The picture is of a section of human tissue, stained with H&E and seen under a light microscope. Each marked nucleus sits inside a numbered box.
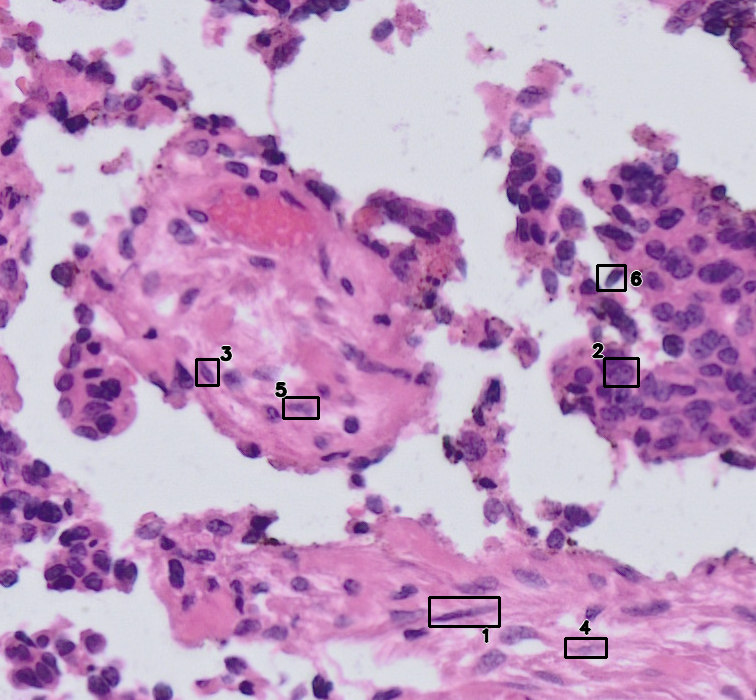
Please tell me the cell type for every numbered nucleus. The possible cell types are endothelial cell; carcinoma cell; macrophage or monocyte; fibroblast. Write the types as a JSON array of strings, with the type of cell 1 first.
["fibroblast", "carcinoma cell", "fibroblast", "fibroblast", "fibroblast", "carcinoma cell"]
